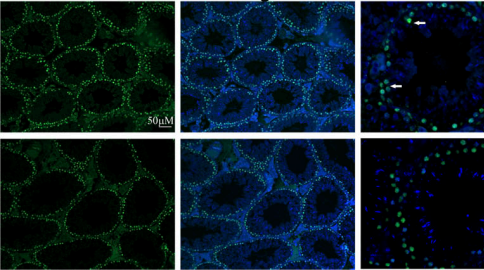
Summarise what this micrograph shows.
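Seminiferous tubules of the testis are cut in cross-section and crowd the low-power fields as round profiles. At higher magnification a single tubule shows round nuclei of varied brightness, some strongly green, lying in the germinal epithelium, while others show only blue.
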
